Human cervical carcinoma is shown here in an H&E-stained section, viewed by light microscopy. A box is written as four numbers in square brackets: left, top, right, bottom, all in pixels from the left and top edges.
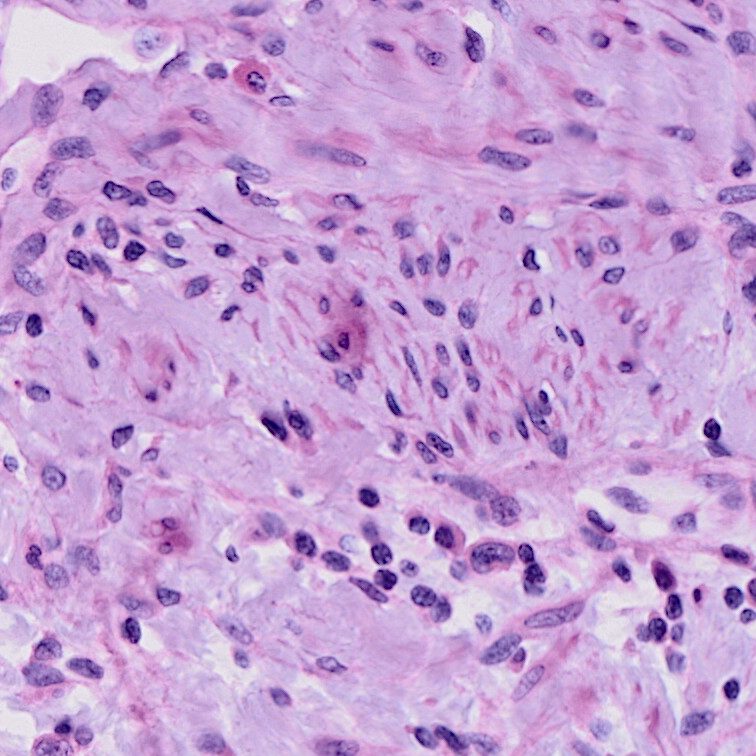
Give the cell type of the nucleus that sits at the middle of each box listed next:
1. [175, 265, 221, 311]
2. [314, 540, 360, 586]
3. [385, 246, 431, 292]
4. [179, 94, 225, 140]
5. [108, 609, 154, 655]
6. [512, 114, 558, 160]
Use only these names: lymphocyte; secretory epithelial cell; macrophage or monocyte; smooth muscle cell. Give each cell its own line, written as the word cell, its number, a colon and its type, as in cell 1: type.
cell 1: smooth muscle cell
cell 2: lymphocyte
cell 3: smooth muscle cell
cell 4: smooth muscle cell
cell 5: lymphocyte
cell 6: smooth muscle cell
